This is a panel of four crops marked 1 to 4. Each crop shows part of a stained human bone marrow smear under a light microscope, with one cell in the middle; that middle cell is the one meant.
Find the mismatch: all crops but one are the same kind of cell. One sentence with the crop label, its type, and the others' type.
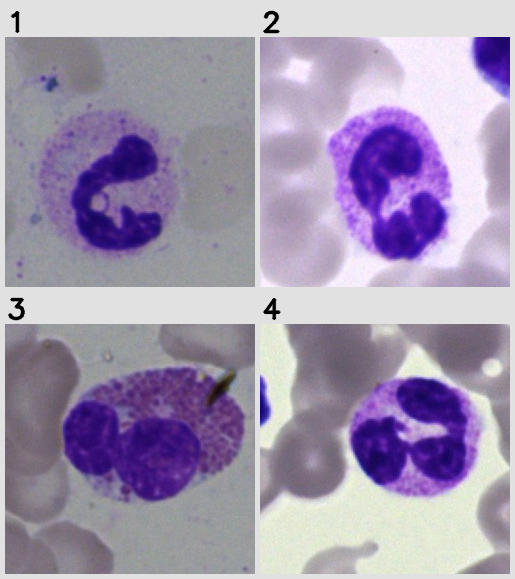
All crops show segmented neutrophils except crop 3, which is an eosinophil.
